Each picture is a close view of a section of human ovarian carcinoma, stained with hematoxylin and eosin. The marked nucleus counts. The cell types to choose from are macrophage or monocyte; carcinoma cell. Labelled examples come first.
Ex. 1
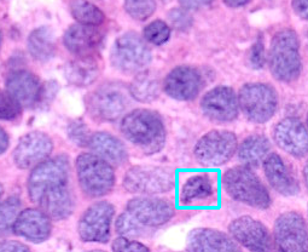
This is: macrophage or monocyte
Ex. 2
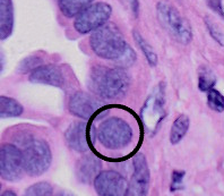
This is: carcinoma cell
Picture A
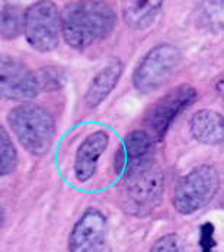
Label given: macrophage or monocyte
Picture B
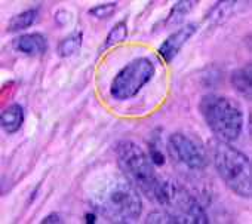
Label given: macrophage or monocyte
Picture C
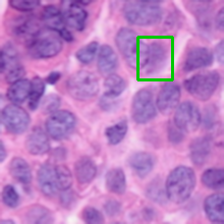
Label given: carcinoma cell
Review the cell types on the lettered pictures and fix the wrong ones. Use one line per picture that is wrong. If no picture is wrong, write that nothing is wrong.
All labels are correct.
